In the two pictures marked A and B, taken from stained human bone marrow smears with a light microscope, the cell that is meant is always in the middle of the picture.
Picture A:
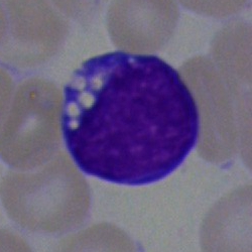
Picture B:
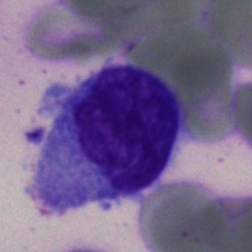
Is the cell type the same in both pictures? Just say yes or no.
no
